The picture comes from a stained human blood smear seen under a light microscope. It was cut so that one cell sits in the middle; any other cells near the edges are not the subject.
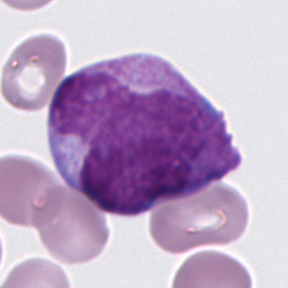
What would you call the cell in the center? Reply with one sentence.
Answering briefly, the cell in the middle is an atypical promyelocyte.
